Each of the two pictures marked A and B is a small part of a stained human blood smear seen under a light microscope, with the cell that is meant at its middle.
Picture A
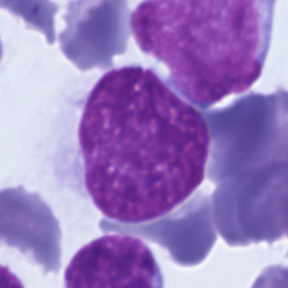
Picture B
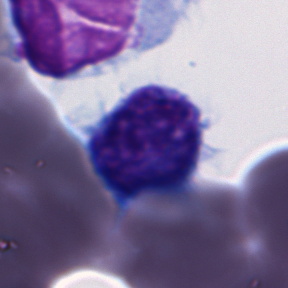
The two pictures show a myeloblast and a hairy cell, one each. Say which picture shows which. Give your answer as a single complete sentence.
Picture B shows a hairy cell, while picture A shows a myeloblast.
